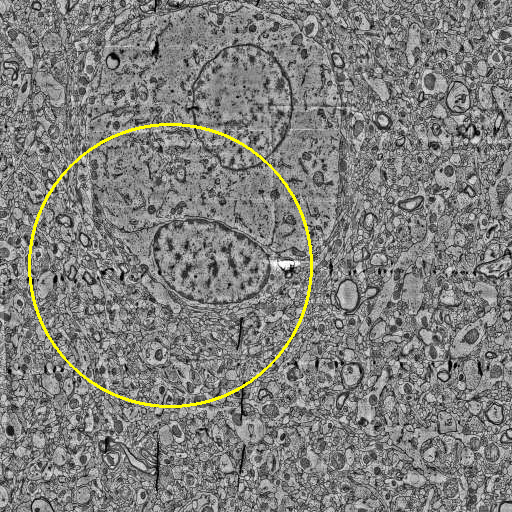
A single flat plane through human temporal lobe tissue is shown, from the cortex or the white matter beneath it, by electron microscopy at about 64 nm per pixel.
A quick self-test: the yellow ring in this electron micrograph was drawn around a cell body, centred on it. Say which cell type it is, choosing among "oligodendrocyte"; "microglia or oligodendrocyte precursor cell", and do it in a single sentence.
The yellow-ringed cell is a microglial cell or oligodendrocyte precursor cell.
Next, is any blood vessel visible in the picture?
No, a blood vessel is absent from this picture.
